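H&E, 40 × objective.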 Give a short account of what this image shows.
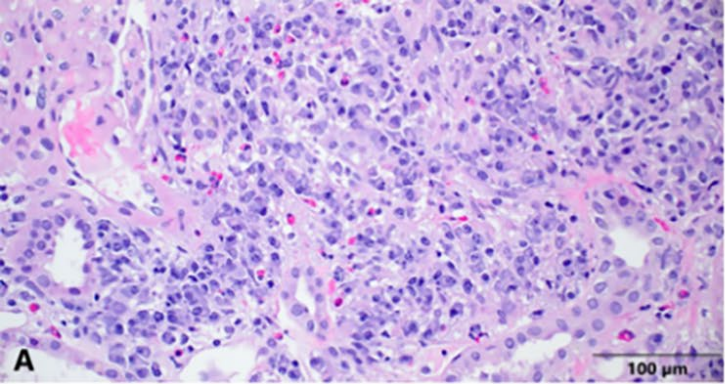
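Kidney interstitium diffusely filled with inflammatory cells, mostly plasma cells with round, eccentric nuclei and ample purple cytoplasm, along with small lymphocytes with dark round nuclei. Scattered eosinophils stand out by their bright red-pink granular cytoplasm. A few residual tubules with pale pink epithelium are pushed apart by the infiltrate.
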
